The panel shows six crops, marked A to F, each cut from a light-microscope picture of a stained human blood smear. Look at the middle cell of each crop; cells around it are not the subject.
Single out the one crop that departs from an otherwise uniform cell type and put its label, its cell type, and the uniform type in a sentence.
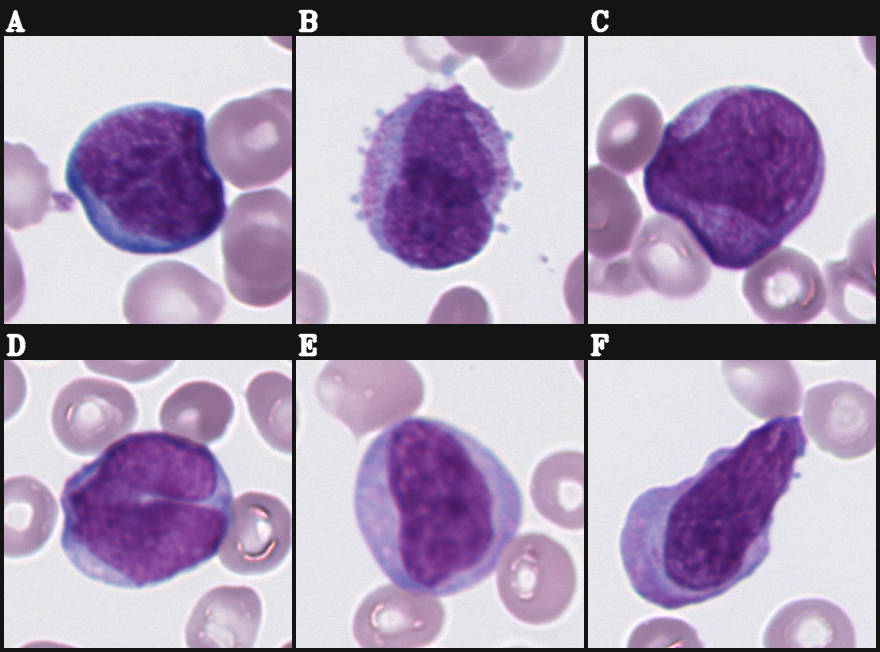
Crop A differs, its cell being a myeloblast, whereas the other crops show atypical promyelocytes.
